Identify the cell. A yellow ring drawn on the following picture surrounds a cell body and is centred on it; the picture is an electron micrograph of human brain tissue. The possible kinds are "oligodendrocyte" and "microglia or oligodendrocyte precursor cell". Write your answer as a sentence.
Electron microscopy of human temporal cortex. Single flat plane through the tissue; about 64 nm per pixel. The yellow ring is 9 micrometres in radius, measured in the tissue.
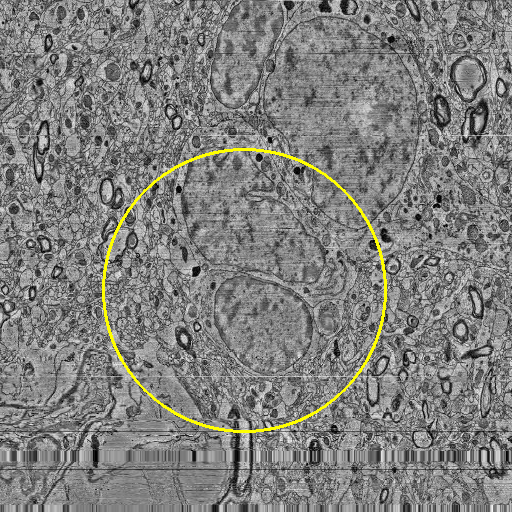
The cell identified by the ring is an oligodendrocyte.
